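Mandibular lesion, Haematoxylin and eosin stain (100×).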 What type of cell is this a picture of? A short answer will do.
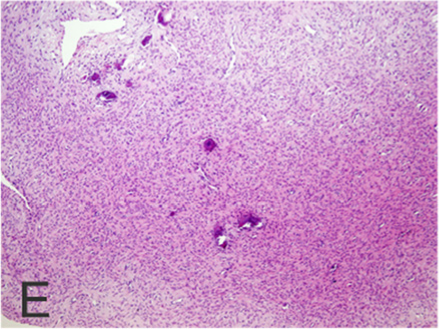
Dense fibroblasts.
